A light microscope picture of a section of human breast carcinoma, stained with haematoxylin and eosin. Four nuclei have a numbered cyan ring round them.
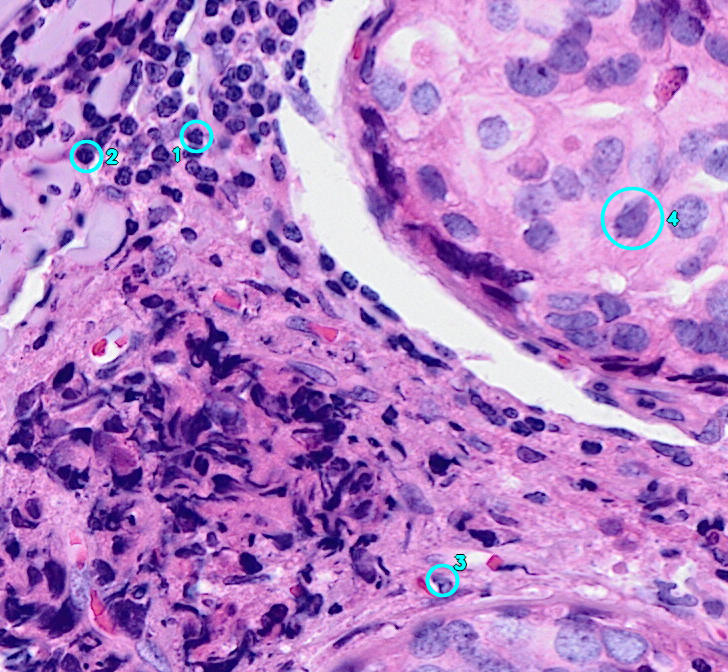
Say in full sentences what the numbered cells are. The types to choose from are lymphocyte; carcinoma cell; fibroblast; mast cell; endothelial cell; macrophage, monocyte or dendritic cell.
Cell 1 is a lymphocyte, cell 2 is a lymphocyte, cell 3 is an endothelial cell and cell 4 is a carcinoma cell.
